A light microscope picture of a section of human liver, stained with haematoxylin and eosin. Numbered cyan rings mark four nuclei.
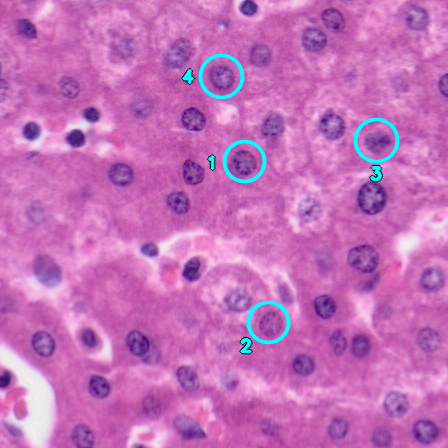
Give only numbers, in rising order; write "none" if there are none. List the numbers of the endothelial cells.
3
